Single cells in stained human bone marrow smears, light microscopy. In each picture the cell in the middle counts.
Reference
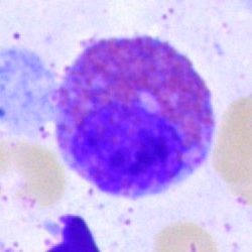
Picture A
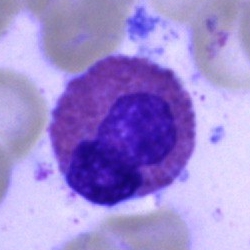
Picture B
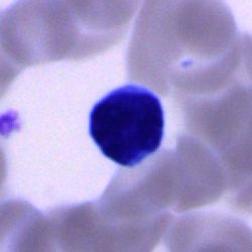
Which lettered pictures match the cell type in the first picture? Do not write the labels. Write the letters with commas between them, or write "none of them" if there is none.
A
